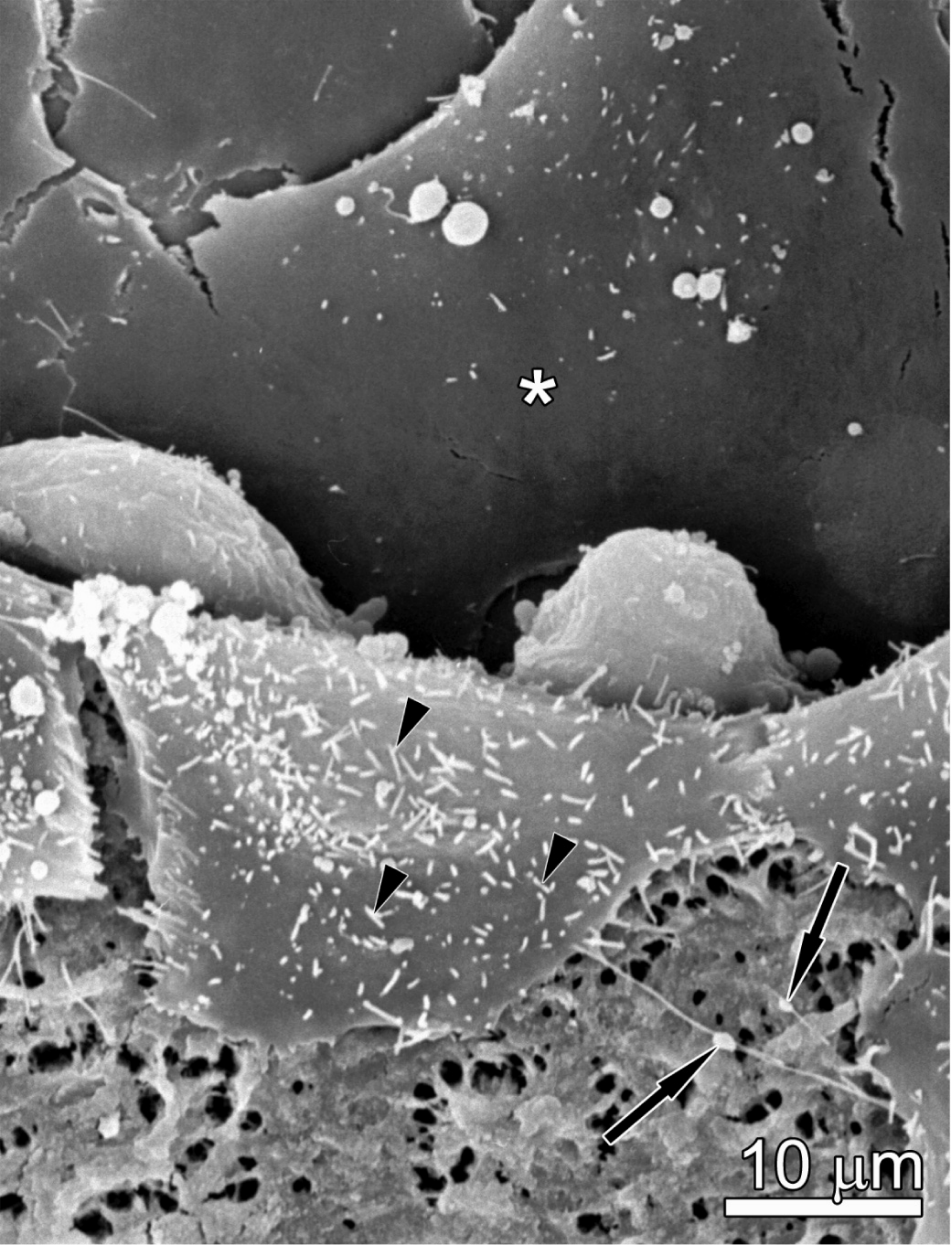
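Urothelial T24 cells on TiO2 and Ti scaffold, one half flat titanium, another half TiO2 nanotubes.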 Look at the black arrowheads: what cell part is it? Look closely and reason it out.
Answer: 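Pleomorphic microvilli. The arrowheads point to short rod-like projections on the cell surface. These projections are numerous and vary in length and shape.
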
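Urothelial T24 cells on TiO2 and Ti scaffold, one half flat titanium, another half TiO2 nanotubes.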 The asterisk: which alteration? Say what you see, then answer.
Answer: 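The asterisk lies on a broad, flat cell surface. That surface is largely even, with only scattered small projections. The answer: apical surface is smooth.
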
